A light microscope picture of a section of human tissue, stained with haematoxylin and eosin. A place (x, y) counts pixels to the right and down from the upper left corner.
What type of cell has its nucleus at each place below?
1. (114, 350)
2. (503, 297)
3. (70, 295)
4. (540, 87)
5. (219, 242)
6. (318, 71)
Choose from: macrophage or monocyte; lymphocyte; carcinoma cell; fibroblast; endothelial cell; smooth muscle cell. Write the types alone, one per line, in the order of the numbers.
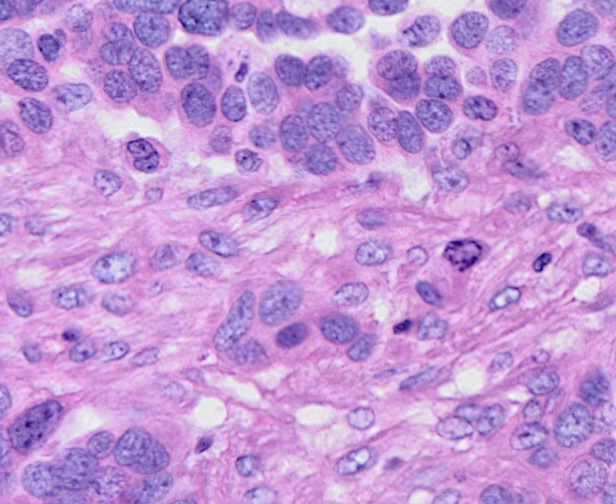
fibroblast
fibroblast
fibroblast
carcinoma cell
fibroblast
carcinoma cell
